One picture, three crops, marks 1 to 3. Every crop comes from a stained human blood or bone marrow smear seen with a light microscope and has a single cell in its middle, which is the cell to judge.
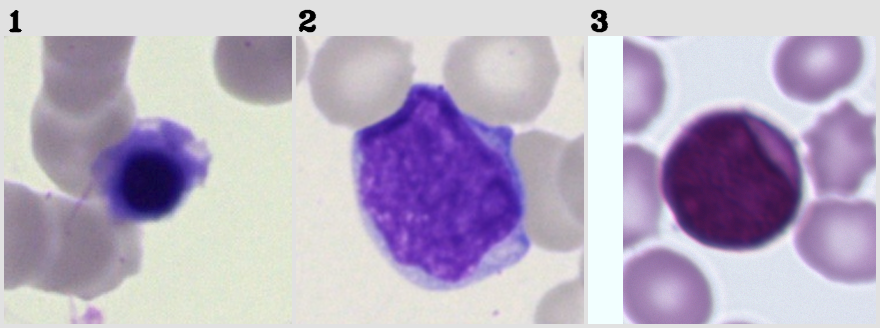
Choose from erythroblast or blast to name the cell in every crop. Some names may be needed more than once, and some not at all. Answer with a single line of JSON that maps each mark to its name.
{"1": "erythroblast", "2": "blast", "3": "blast"}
